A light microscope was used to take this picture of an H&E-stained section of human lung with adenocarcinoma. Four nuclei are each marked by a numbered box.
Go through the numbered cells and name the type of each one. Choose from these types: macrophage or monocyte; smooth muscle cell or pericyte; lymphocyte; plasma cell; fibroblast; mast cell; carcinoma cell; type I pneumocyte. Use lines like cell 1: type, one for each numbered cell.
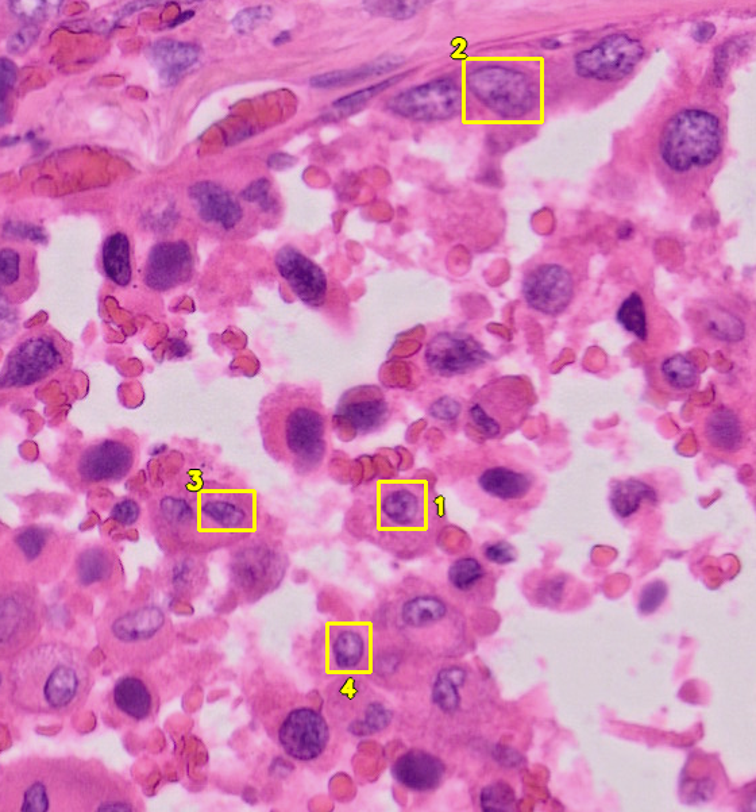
cell 1: macrophage or monocyte
cell 2: carcinoma cell
cell 3: macrophage or monocyte
cell 4: macrophage or monocyte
